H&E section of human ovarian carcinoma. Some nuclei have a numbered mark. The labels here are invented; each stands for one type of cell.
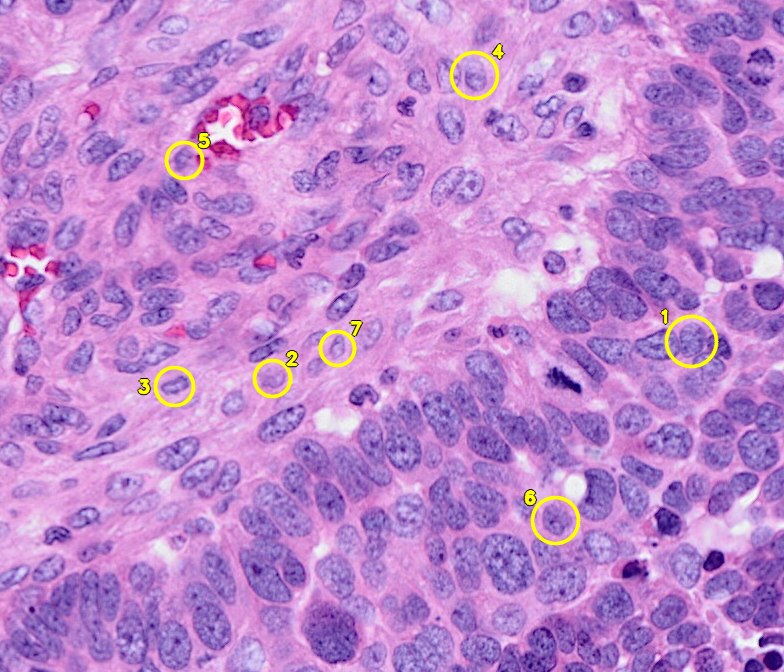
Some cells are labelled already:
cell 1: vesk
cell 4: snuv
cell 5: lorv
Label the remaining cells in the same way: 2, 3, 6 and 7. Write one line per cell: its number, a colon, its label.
2: snuv
3: snuv
6: vesk
7: snuv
